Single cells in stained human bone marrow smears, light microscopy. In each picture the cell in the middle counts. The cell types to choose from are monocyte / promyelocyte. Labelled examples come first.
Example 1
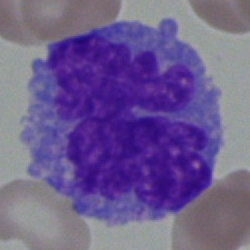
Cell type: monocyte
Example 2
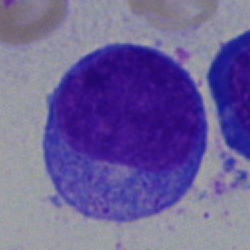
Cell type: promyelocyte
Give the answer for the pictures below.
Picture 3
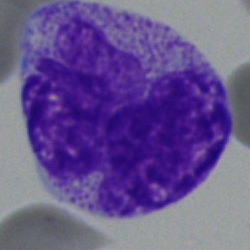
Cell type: monocyte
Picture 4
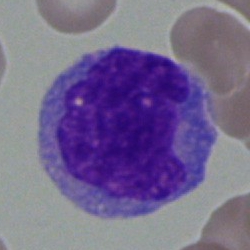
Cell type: monocyte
